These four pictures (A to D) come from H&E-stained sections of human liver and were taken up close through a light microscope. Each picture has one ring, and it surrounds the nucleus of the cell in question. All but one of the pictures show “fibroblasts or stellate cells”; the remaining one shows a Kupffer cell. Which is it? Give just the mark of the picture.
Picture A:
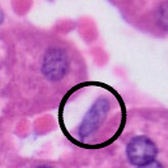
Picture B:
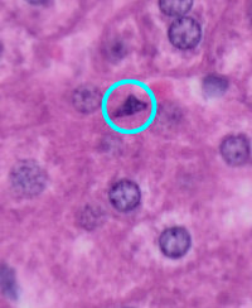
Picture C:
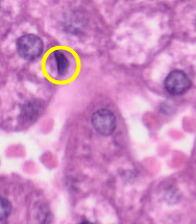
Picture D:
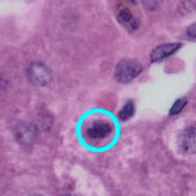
A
